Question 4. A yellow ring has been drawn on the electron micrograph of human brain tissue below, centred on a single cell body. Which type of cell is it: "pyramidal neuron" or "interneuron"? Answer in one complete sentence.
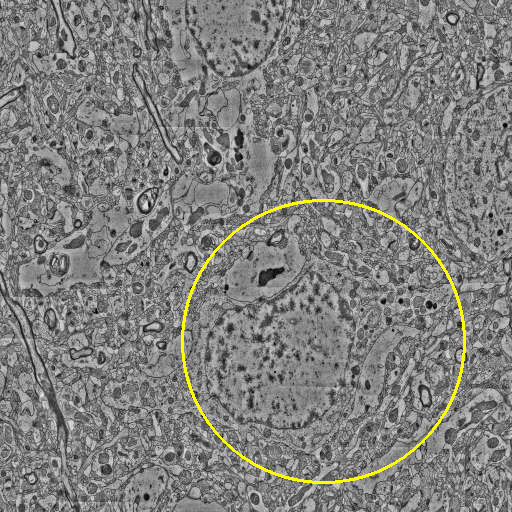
This cell body belongs to an interneuron.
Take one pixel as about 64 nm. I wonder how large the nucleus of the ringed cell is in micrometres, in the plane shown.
Approximately 10 x 9 micrometres in this plane.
